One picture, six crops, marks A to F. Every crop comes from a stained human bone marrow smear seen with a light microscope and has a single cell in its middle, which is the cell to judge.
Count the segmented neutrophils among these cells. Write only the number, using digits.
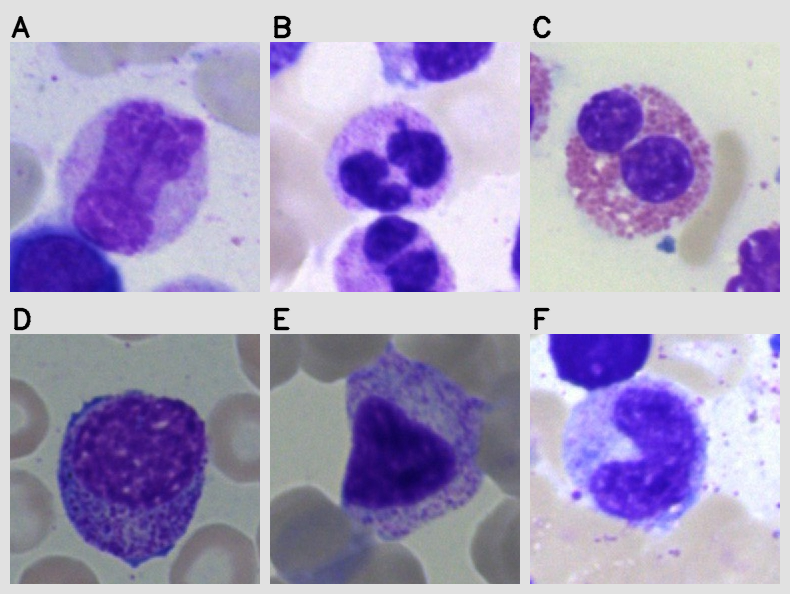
1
